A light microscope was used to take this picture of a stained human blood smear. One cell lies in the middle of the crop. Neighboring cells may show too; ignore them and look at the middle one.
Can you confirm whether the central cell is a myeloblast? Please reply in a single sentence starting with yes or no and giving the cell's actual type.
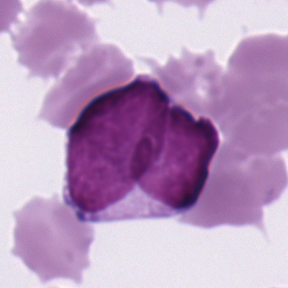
Yes, the cell that lies centrally is a myeloblast.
